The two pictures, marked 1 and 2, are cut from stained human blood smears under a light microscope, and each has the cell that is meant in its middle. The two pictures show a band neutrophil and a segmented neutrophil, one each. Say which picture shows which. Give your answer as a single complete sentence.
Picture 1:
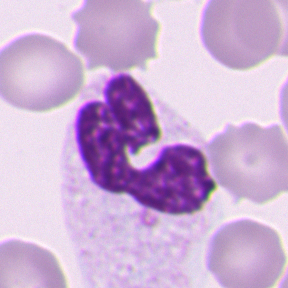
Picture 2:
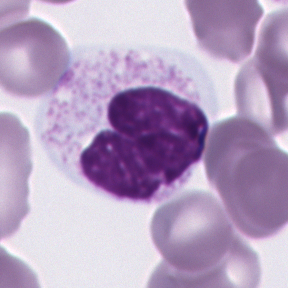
The cell in picture 1 is a segmented neutrophil, and the one in picture 2 is a band neutrophil.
